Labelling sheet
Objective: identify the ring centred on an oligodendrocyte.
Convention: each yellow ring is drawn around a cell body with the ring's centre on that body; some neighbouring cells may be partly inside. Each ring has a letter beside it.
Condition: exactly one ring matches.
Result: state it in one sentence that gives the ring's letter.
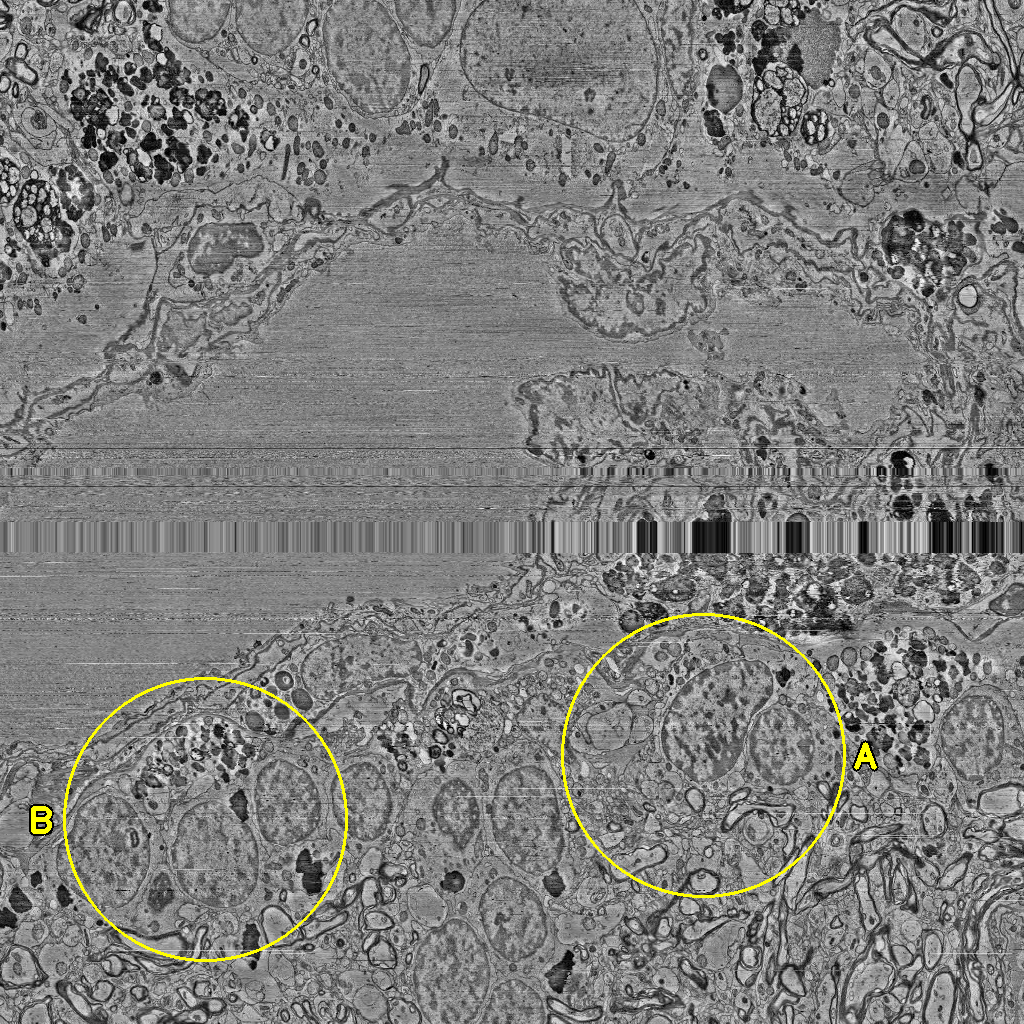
It lies at the centre of ring B.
